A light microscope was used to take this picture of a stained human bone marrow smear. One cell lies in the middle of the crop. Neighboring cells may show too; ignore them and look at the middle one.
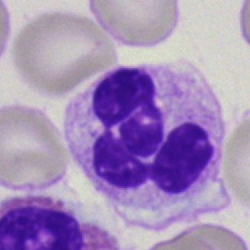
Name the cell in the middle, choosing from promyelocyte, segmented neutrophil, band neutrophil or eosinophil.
segmented neutrophil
